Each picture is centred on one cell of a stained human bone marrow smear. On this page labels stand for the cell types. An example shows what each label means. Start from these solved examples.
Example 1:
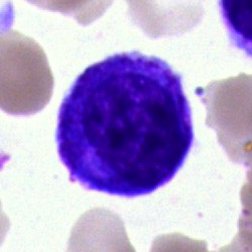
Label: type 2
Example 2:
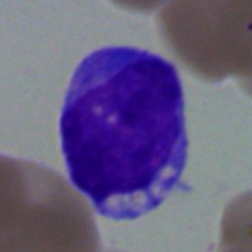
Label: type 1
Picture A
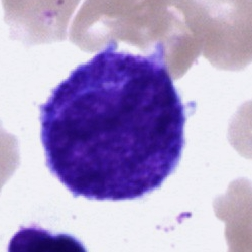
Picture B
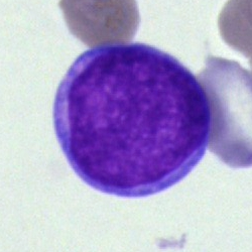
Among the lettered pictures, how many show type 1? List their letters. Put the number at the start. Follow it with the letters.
Count: 1 (B)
